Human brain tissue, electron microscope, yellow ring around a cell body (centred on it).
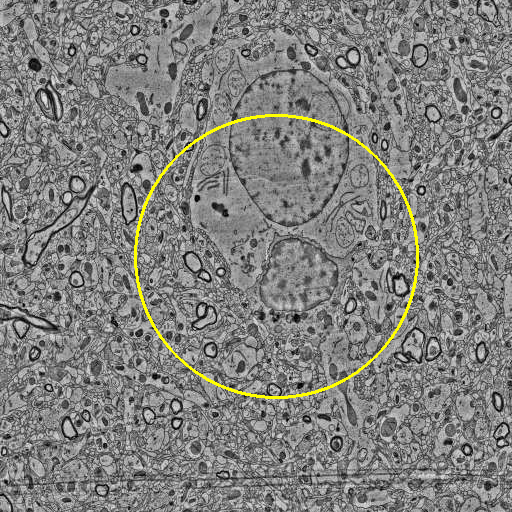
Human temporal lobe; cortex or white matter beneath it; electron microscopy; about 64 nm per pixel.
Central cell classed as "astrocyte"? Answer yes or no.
no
